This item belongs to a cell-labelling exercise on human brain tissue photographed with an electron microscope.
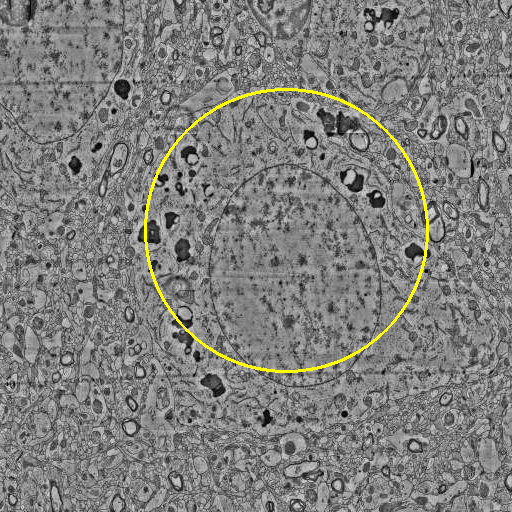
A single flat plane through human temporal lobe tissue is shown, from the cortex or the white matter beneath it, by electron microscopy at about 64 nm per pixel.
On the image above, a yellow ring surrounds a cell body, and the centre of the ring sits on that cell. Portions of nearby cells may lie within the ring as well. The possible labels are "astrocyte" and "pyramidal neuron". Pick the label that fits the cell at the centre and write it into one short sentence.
This cell should be labelled as a pyramidal neuron.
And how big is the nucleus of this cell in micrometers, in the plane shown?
Roughly 14 by 11 micrometres in this plane, for the nucleus of the ringed cell.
